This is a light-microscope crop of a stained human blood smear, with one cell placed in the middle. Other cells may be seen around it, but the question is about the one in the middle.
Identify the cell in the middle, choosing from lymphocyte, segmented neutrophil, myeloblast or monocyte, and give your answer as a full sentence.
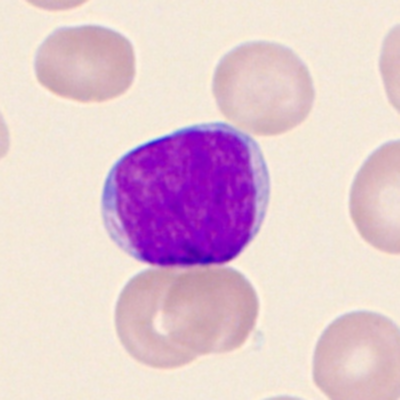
The central cell in this smear crop is a lymphocyte.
